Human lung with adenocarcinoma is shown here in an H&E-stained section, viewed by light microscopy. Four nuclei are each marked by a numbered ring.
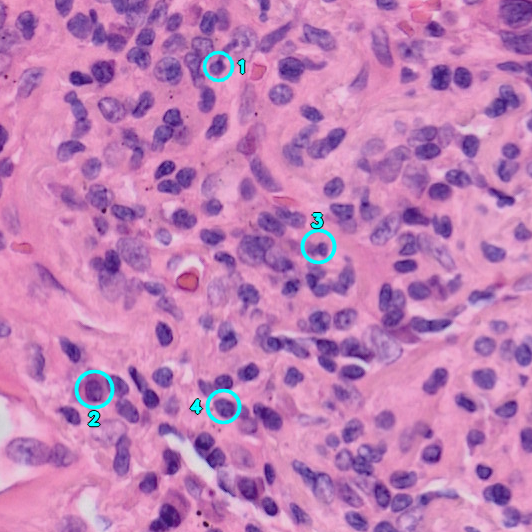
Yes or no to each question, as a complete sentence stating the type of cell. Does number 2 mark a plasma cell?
Yes, the cell at marker 2 is a plasma cell.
